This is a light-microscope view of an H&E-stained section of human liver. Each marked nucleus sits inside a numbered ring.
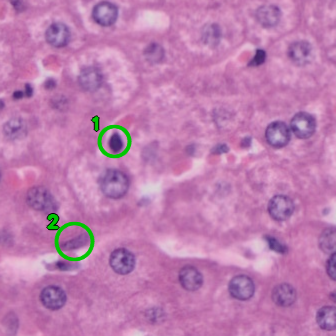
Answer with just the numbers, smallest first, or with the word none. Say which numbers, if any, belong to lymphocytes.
1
